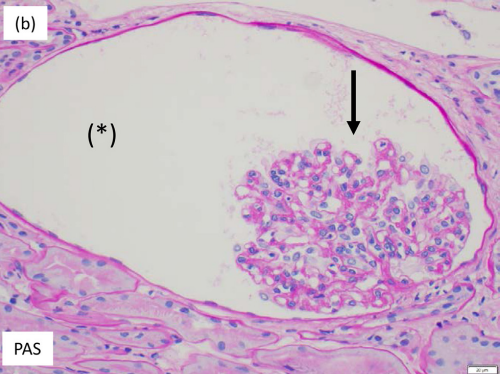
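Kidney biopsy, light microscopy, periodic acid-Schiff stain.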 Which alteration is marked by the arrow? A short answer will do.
Collapsed glomerular structures.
